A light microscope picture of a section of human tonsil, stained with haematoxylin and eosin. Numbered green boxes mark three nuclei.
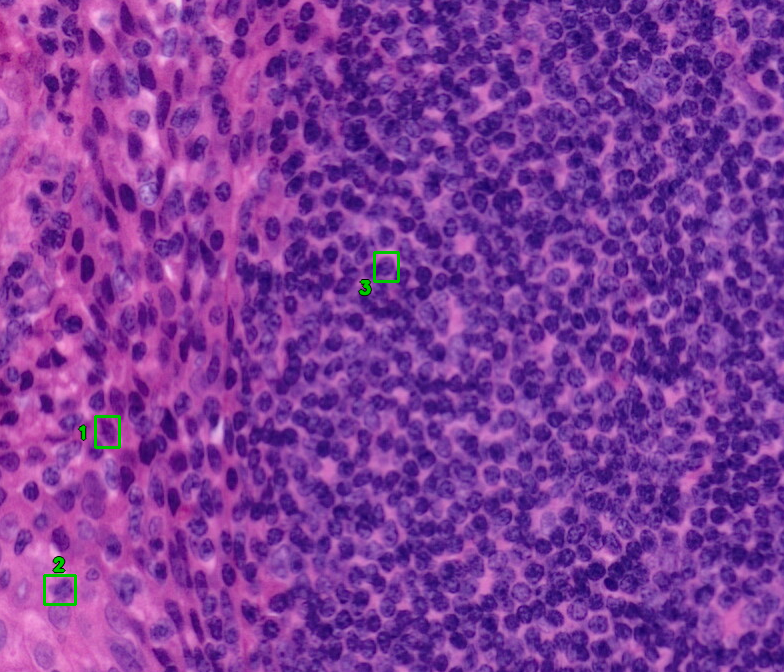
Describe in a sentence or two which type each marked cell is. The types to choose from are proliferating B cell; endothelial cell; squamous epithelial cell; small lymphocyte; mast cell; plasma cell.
Cells 1 and 2 are squamous epithelial cells. Cell 3 is a small lymphocyte.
